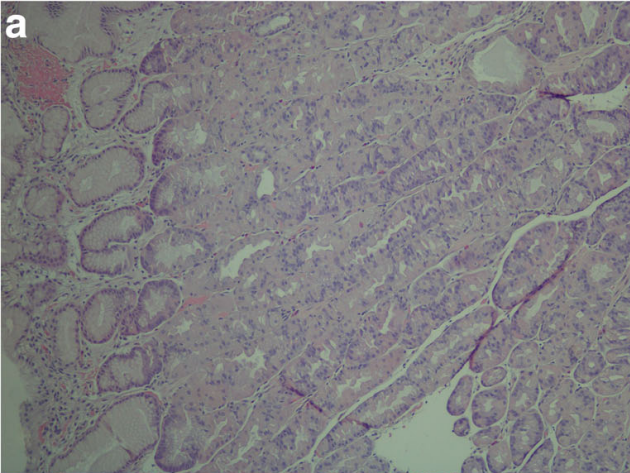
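Long tubular glands lie packed side by side and run in parallel, lined by cuboidal to columnar cells with pink cytoplasm and small dark nuclei, with thin pale strands of connective tissue between them. Toward one side, rounder gland profiles with paler, mucus-filled lining cells are seen in cross-section. This is the glandular mucosa of the stomach with its gastric glands.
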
